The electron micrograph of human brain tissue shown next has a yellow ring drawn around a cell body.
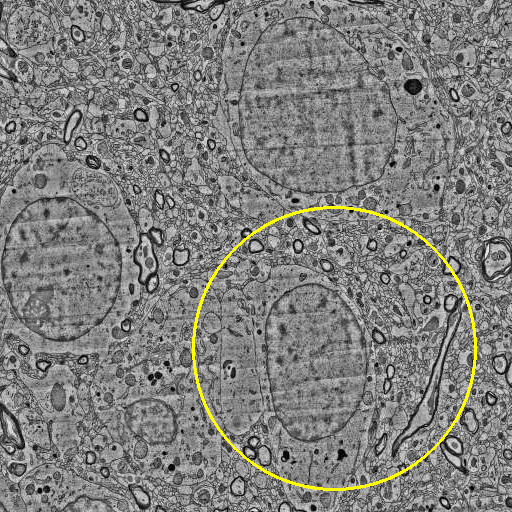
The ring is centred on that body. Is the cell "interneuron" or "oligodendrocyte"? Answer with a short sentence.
The cell in question is an interneuron.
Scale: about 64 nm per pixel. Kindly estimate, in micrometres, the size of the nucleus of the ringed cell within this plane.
The nucleus has a long axis of about 10 micrometres and a short axis of about 7 micrometres in this plane.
